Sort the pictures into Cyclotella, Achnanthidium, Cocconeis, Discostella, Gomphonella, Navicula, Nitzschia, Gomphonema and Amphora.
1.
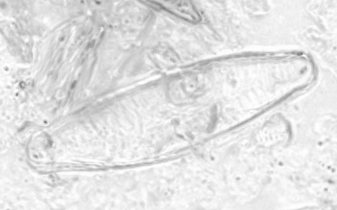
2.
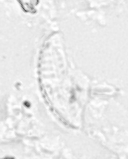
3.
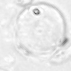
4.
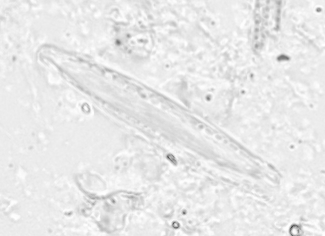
Gomphonema: 1
Amphora: 2
Discostella: 3
Nitzschia: 4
